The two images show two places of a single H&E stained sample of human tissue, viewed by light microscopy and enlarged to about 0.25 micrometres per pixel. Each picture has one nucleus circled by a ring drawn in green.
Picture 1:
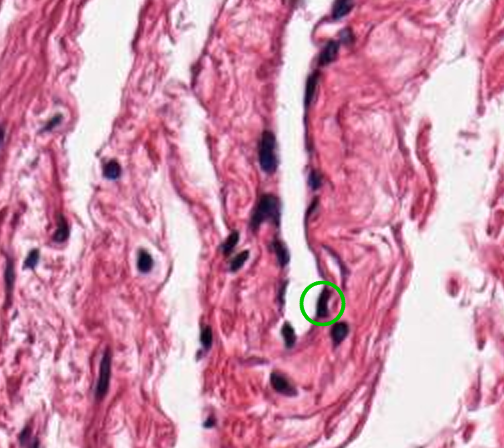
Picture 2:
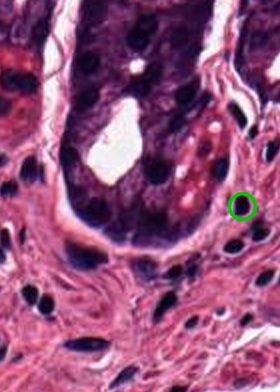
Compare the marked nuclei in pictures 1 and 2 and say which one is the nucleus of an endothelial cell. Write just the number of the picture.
1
